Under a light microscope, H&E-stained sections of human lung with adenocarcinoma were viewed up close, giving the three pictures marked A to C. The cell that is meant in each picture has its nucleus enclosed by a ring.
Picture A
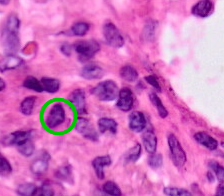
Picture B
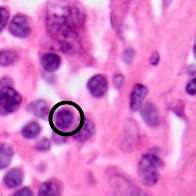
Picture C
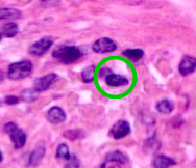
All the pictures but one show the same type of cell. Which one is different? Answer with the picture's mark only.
A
